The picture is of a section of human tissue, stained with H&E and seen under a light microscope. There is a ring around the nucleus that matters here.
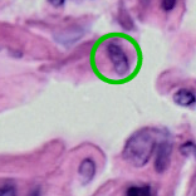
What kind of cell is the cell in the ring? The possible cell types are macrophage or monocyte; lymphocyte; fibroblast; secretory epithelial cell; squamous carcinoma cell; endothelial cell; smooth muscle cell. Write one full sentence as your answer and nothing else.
Considered by cell type, the cell in the ring is a macrophage or monocyte.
